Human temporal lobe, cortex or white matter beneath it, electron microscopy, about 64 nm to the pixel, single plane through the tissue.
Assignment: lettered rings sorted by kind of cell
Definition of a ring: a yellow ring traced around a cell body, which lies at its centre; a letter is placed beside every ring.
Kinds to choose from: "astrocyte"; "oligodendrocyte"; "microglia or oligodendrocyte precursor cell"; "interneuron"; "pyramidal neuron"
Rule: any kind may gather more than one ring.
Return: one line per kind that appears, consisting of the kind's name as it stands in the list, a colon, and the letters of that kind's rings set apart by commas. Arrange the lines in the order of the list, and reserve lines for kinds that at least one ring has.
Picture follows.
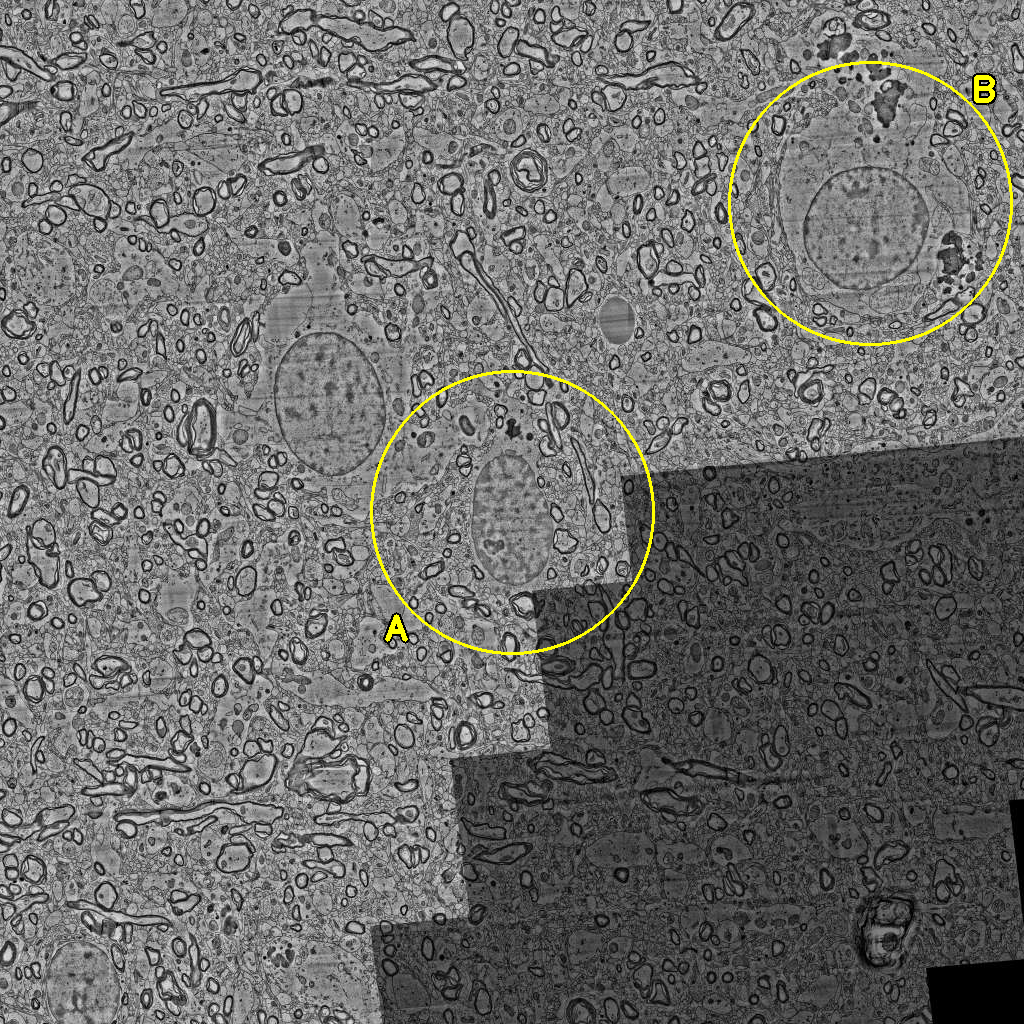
astrocyte: B
oligodendrocyte: A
